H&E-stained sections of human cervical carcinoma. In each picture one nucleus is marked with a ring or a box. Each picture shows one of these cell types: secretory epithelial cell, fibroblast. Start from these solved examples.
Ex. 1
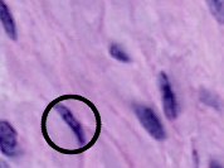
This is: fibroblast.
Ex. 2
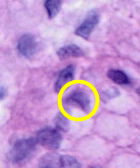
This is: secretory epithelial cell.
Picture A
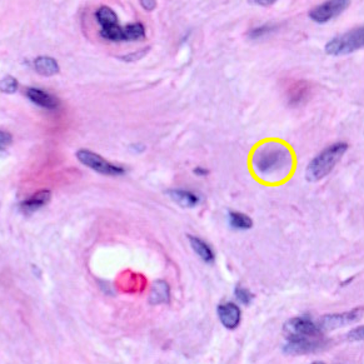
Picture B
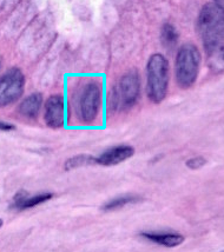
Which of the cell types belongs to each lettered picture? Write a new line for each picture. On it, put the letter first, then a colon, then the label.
A: fibroblast.
B: secretory epithelial cell.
